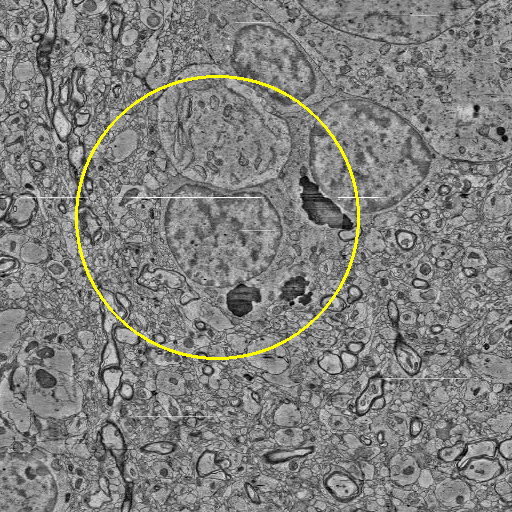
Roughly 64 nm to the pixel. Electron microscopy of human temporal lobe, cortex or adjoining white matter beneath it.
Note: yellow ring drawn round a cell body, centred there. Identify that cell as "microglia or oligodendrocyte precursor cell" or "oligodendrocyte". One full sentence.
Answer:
The cell in the middle of the ring is an oligodendrocyte.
